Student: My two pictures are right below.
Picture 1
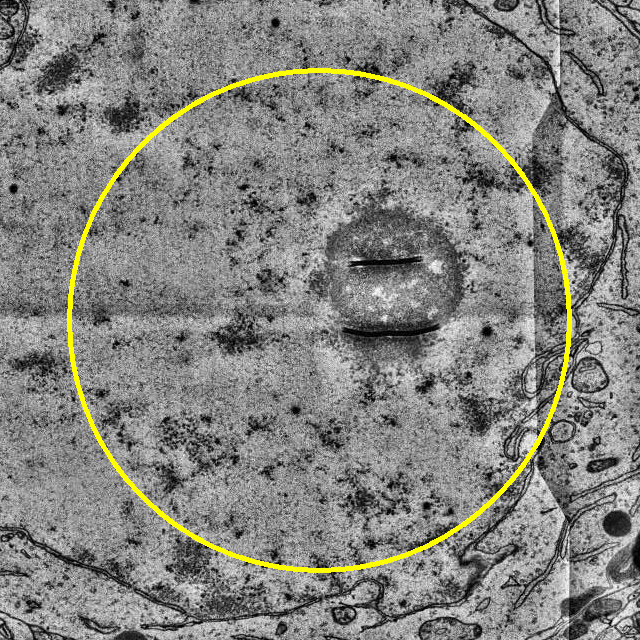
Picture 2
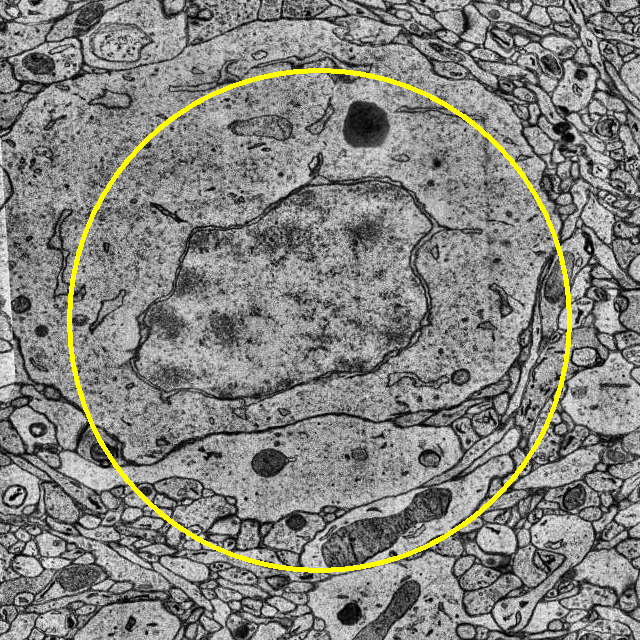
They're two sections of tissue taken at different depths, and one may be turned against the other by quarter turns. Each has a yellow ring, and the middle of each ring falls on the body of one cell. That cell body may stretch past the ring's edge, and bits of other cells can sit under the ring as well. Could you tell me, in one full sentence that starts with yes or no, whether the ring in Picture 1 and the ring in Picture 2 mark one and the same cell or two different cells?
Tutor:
No, the two rings are not on the same cell.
